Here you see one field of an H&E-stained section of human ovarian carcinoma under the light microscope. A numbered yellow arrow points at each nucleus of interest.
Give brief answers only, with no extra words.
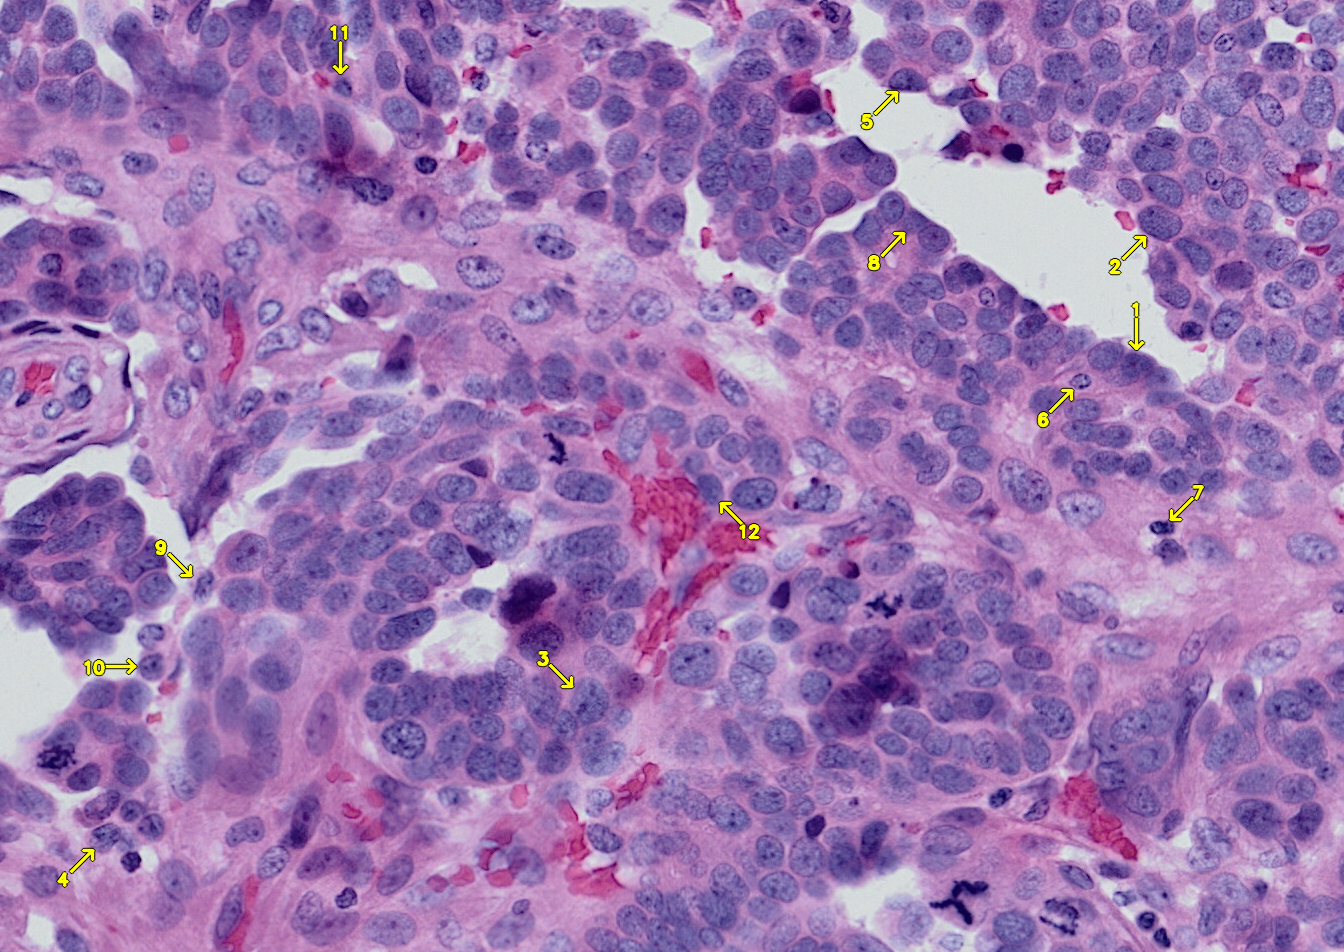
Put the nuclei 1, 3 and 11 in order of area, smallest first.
11, 1, 3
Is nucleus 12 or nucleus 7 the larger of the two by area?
12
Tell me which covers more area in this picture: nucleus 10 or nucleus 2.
2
